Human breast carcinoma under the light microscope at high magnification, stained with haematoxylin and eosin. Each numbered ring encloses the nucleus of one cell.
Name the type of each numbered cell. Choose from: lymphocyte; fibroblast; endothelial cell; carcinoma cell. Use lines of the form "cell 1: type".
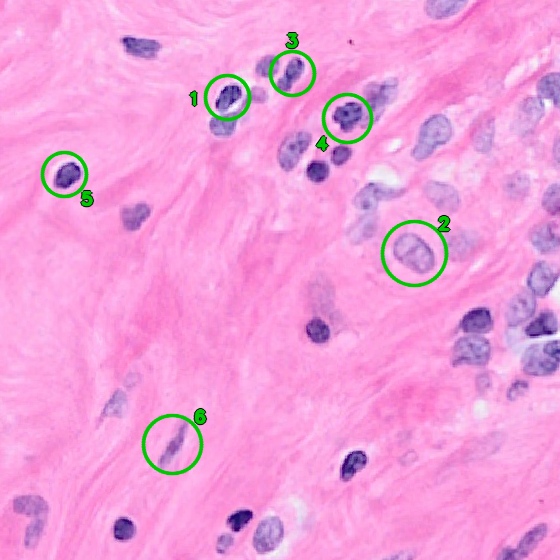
cell 1: lymphocyte
cell 2: carcinoma cell
cell 3: lymphocyte
cell 4: lymphocyte
cell 5: lymphocyte
cell 6: fibroblast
